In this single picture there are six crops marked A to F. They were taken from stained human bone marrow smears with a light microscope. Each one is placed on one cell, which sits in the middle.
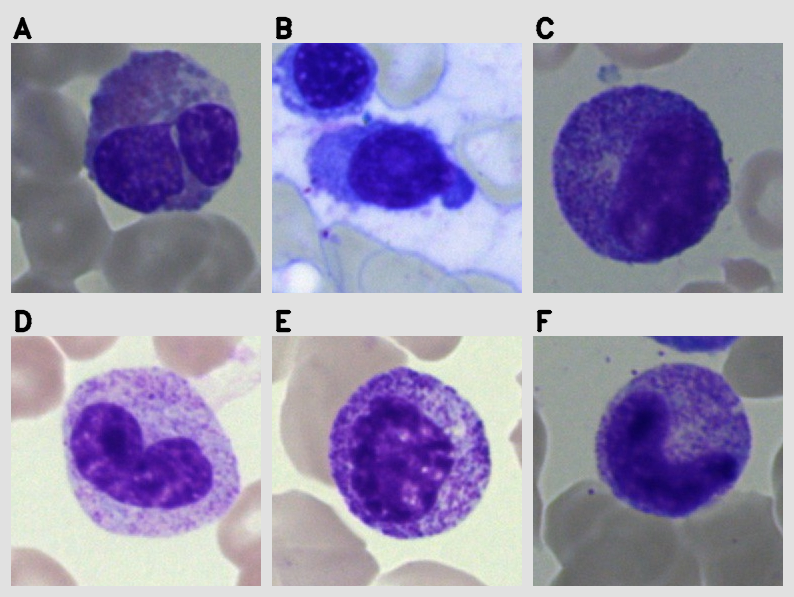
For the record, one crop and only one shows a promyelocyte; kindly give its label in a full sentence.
As for which crop shows a promyelocyte, it is crop C.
